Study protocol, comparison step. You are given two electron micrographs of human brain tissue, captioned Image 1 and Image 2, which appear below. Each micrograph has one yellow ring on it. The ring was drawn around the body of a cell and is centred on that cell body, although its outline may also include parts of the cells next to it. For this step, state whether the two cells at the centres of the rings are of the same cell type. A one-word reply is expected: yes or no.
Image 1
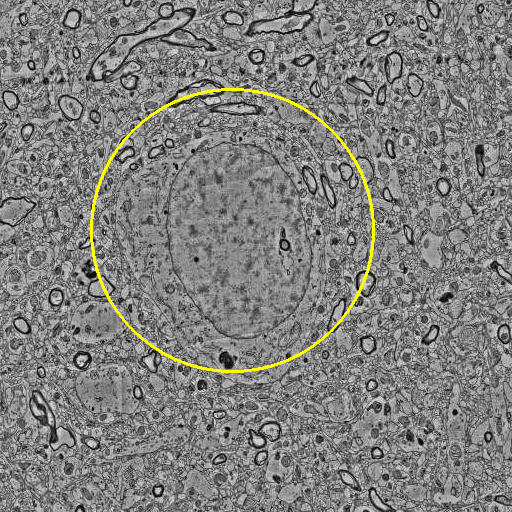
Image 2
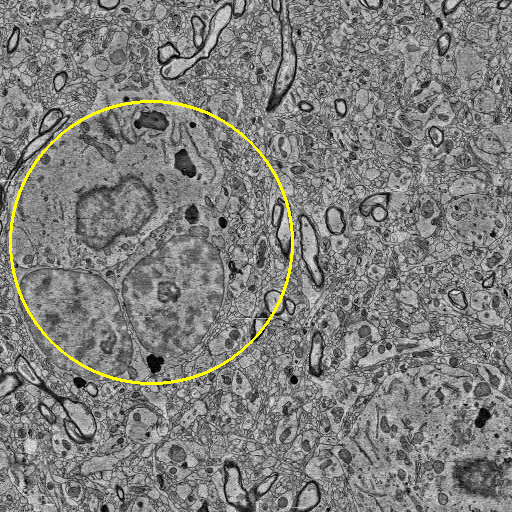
no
